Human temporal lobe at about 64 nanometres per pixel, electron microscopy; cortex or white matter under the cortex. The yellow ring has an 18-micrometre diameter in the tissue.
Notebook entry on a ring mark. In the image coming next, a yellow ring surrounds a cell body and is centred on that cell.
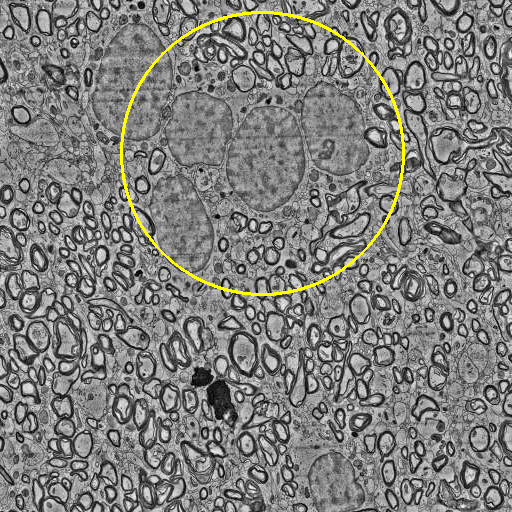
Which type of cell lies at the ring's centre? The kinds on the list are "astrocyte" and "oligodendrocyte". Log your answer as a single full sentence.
Centred in the yellow ring is an oligodendrocyte, the cell recorded for this image.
